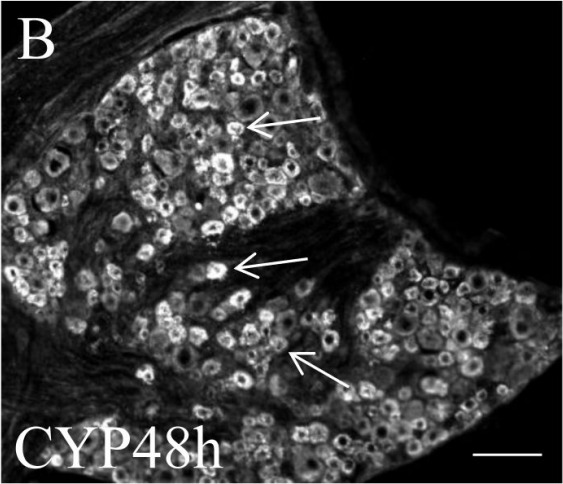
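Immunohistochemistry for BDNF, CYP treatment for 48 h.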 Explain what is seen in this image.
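This is a section of a sensory ganglion, with clusters of round sensory neuron cell bodies lying between bands of nerve fibres that run across the field as faint streaky tissue. Many of the cell bodies are small to medium in size and glow brightly, their cytoplasm granular and often brighter at the rim, with a dark round nucleus in the middle. Scattered among them are larger round cell bodies that stay dim, some showing a dark nucleus. The labelled neurons are packed closely together in groups, while the fibre tracts between the groups are dark and nearly free of bright cells.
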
